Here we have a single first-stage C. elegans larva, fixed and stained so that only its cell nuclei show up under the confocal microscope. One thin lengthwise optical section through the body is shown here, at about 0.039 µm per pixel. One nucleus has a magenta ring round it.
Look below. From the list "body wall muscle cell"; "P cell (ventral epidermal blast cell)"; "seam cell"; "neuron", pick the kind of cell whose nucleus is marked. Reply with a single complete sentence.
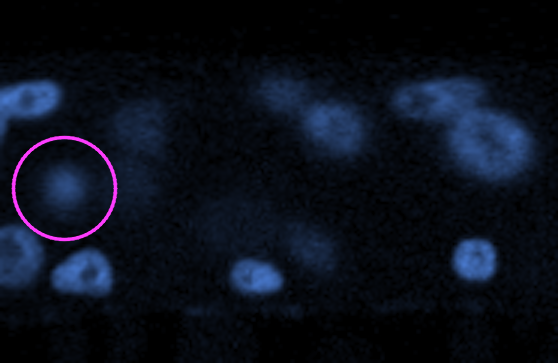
It belongs to a neuron.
